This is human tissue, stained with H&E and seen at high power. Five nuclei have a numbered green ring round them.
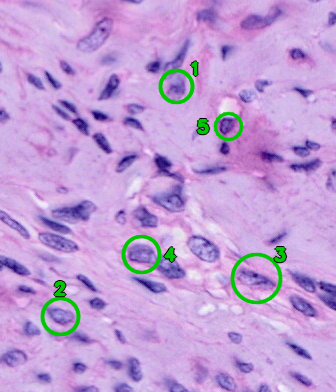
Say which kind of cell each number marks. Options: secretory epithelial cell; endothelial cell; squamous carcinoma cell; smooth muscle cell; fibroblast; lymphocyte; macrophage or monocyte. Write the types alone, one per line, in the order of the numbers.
smooth muscle cell
smooth muscle cell
endothelial cell
endothelial cell
endothelial cell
